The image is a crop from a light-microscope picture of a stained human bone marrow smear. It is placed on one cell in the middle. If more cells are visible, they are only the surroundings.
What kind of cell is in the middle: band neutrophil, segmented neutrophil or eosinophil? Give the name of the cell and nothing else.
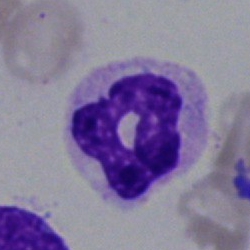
segmented neutrophil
